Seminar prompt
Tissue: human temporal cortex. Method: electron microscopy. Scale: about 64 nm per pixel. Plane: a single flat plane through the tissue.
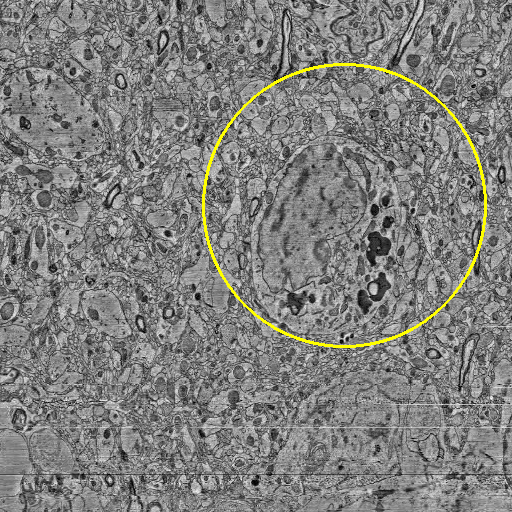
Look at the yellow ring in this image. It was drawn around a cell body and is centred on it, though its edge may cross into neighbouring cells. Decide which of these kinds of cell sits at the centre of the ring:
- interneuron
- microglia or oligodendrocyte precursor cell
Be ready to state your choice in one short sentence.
The kind of cell at the ring's centre is an interneuron.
